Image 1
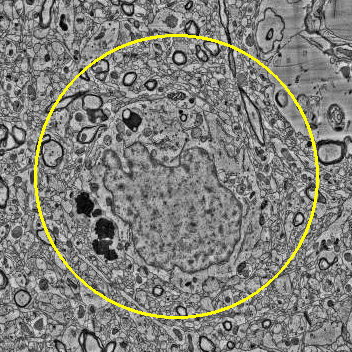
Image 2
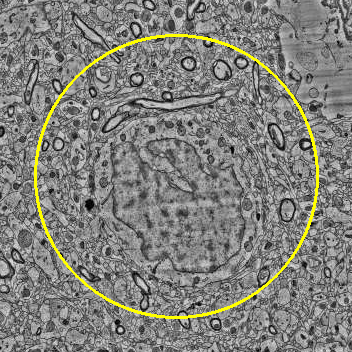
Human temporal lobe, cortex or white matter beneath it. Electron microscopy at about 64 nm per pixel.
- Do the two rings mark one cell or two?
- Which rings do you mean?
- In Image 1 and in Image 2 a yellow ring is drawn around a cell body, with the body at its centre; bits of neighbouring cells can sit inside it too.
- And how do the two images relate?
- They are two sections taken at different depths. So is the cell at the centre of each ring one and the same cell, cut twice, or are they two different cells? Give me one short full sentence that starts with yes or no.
Yes, both rings are placed on a single cell.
